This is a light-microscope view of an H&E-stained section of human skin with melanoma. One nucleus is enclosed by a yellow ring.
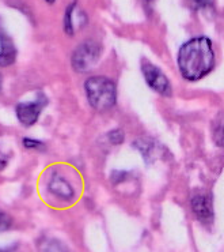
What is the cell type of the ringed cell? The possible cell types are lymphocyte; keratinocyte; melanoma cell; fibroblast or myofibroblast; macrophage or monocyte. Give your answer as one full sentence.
The cell meant here is a macrophage or monocyte.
